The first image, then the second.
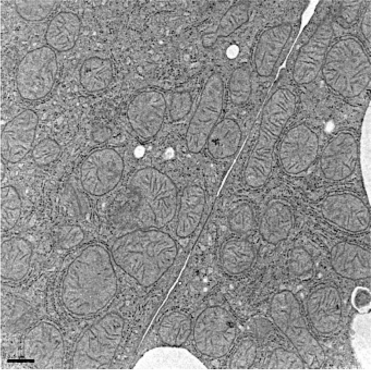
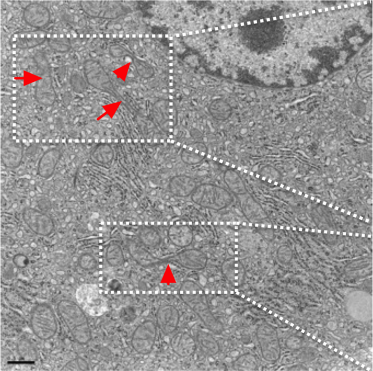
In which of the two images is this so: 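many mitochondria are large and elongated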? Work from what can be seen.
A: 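The first image. First image: mitochondria are large, many oval to elongated, packed densely across the cytoplasm.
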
